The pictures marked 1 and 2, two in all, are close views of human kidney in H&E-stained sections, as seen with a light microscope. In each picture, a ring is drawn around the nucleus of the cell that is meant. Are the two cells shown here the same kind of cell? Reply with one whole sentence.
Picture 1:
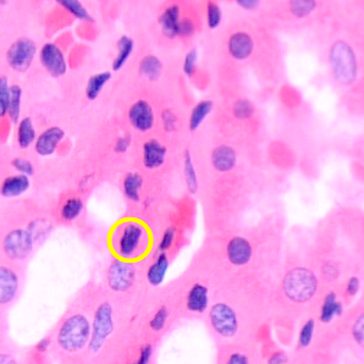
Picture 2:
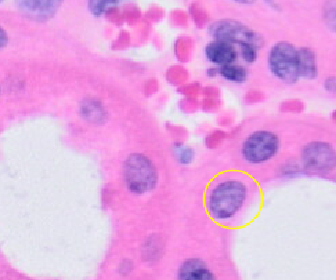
Yes; the cells in both pictures are “loop of Henle or distal tubule cells”.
